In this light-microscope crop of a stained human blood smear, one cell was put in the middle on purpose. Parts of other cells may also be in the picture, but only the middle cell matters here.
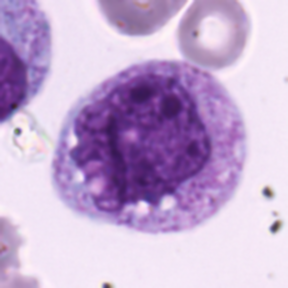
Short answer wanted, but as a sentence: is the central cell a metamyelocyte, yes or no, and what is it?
No, the cell at the centre of the crop corresponds to a myelocyte, not a metamyelocyte.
